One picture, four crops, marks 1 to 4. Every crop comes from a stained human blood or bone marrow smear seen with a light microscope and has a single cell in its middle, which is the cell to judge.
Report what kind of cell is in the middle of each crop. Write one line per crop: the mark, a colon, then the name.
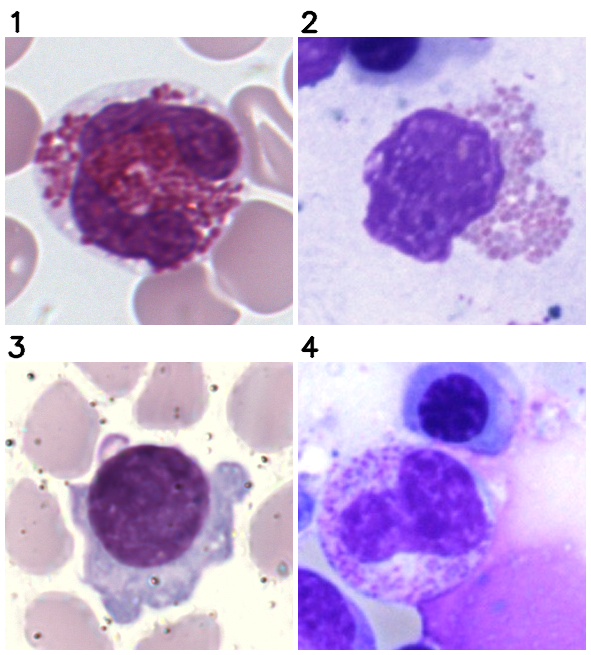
1: eosinophil
2: eosinophil
3: plasma cell
4: metamyelocyte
